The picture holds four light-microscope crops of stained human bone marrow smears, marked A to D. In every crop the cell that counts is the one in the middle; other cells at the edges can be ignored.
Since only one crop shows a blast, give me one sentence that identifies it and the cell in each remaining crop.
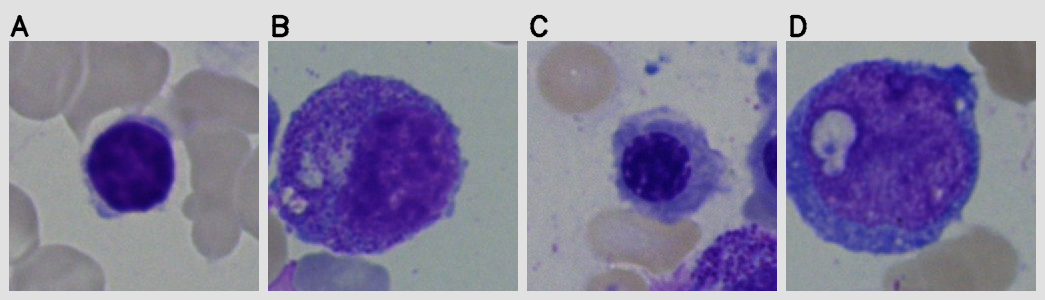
For crop D the cell is a blast, while crop A is a lymphocyte, crop B is a promyelocyte and crop C is a normoblast.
